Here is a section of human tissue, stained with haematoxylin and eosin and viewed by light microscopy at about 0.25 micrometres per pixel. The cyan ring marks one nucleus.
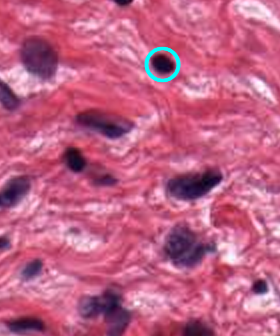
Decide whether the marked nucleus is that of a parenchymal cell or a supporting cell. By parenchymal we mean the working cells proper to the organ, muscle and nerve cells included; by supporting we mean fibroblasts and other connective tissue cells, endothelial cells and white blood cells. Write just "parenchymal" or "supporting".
supporting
